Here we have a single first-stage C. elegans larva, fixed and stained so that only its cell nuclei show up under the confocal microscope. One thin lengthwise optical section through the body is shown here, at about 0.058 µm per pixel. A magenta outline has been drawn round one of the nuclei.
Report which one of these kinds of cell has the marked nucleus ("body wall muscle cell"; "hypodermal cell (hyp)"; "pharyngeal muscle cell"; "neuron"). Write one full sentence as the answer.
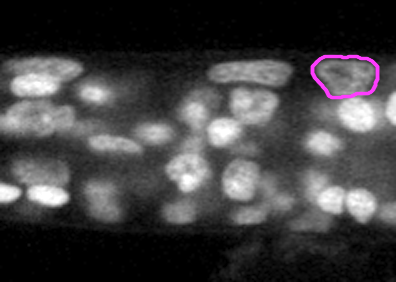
This nucleus is from a hypodermal cell (hyp).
